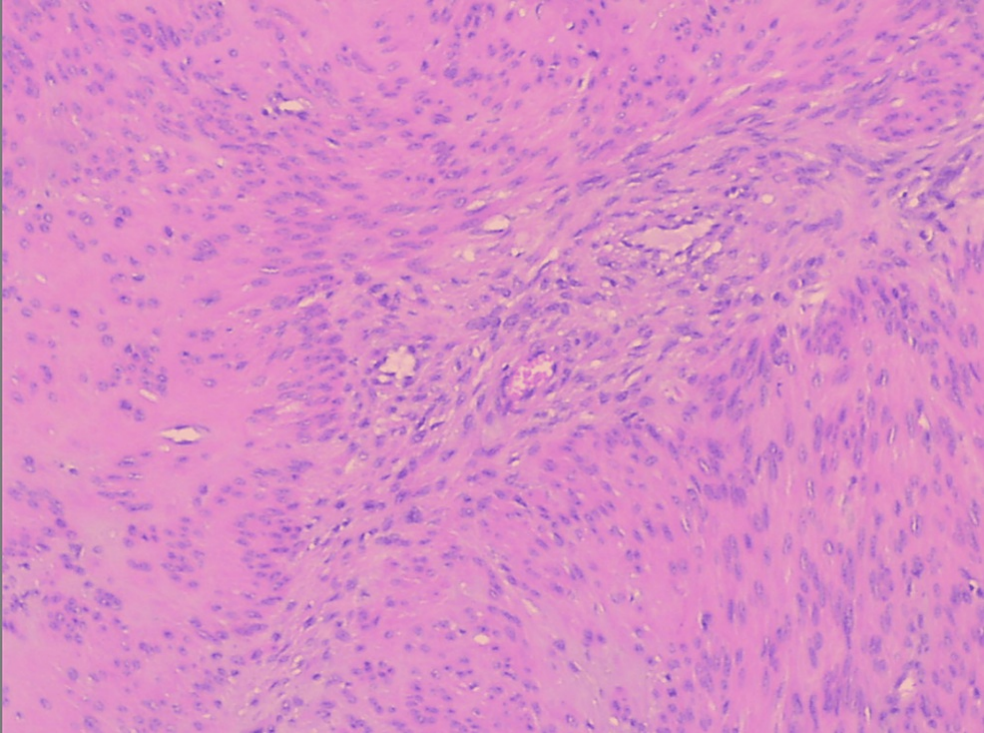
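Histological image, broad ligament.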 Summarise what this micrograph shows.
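This is a benign smooth-muscle tumour made of spindle cells arranged in fascicles. The cells are long and slender with plentiful pink cytoplasm. Their nuclei are elongated and blunt-ended, purple, and look much alike from cell to cell. The cells gather in bundles that sweep and intersect in different directions. Where a bundle is cut across, the nuclei look round or oval rather than long. A few small blood vessels, some holding red cells, lie near the centre. In parts, especially to the left, the pink matrix is paler and more glassy, and the nuclei are spaced further apart.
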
